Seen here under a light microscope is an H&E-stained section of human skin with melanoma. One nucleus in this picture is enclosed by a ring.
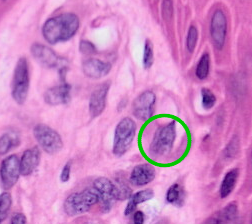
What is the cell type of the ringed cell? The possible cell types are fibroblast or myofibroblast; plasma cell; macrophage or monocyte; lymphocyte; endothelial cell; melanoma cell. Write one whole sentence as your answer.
It is as an endothelial cell that the ringed cell is recorded.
